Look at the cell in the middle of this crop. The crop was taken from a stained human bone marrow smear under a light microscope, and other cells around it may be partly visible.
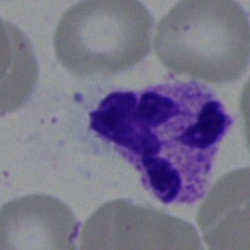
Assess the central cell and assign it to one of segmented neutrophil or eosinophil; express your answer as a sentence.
Classification of the middle cell gives a segmented neutrophil.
